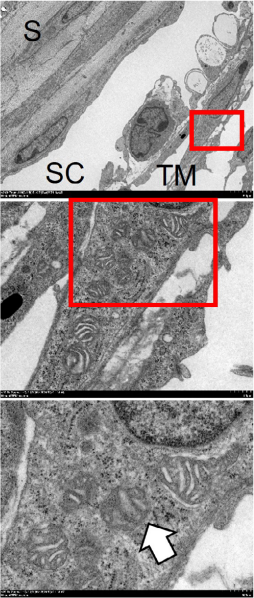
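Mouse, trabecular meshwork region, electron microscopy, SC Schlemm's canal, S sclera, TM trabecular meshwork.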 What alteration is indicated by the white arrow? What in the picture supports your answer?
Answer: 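The arrowed organelle in the bottom image has paler, less orderly cristae than its neighbours. On this evidence: Damaged mitochondria.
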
